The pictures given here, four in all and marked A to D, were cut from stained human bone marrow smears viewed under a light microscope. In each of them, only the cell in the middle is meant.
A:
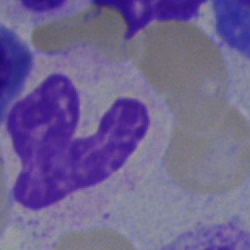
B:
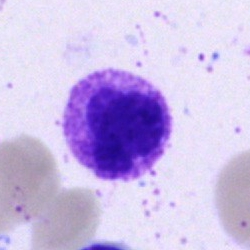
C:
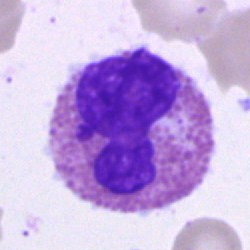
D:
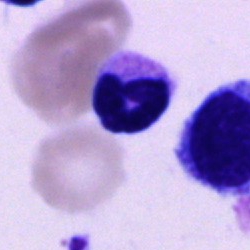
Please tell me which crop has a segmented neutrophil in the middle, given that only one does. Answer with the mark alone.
D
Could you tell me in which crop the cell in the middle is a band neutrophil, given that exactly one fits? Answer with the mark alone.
A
